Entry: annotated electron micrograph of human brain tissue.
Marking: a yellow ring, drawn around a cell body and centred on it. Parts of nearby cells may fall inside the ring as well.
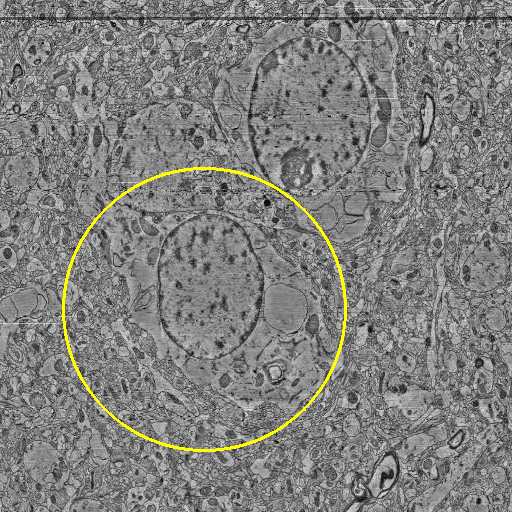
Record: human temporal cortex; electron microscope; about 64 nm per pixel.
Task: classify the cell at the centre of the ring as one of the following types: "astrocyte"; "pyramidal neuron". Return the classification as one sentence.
The marked cell is classified as an astrocyte.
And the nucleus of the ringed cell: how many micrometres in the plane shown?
Approximately 10 by 7 micrometers in this plane.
